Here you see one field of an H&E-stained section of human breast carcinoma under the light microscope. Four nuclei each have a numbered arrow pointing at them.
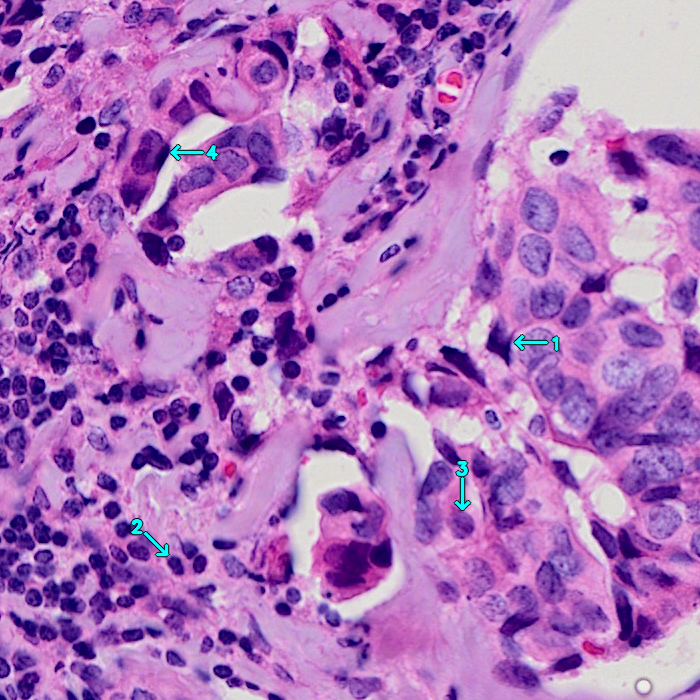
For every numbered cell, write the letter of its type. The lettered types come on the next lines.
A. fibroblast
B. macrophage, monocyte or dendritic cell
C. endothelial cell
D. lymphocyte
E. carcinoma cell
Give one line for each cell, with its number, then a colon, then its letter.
1: E
2: D
3: E
4: E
